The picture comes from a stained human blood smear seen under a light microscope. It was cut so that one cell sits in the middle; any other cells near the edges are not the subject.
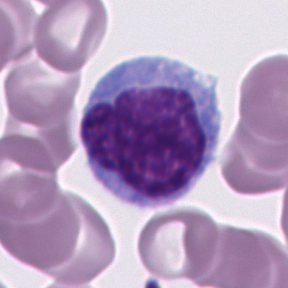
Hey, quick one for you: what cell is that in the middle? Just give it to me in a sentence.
The cell under consideration, at the middle of the crop, is a monocyte.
